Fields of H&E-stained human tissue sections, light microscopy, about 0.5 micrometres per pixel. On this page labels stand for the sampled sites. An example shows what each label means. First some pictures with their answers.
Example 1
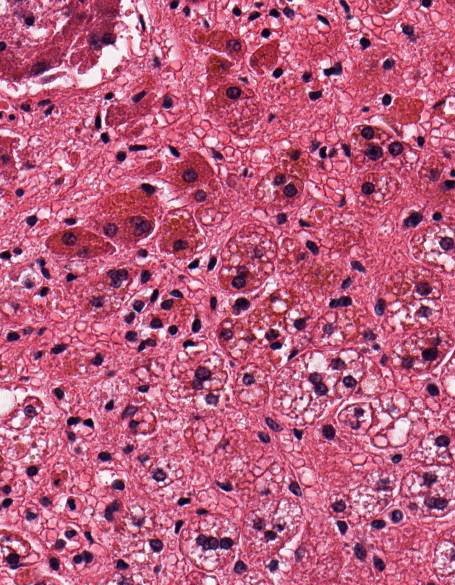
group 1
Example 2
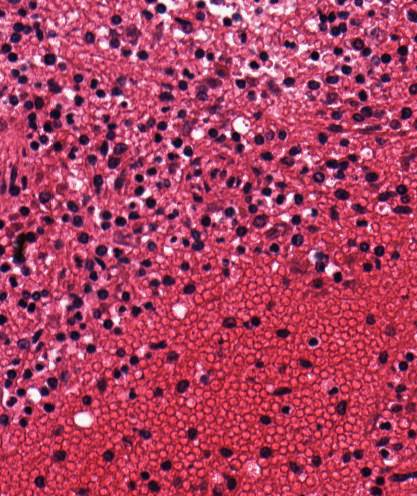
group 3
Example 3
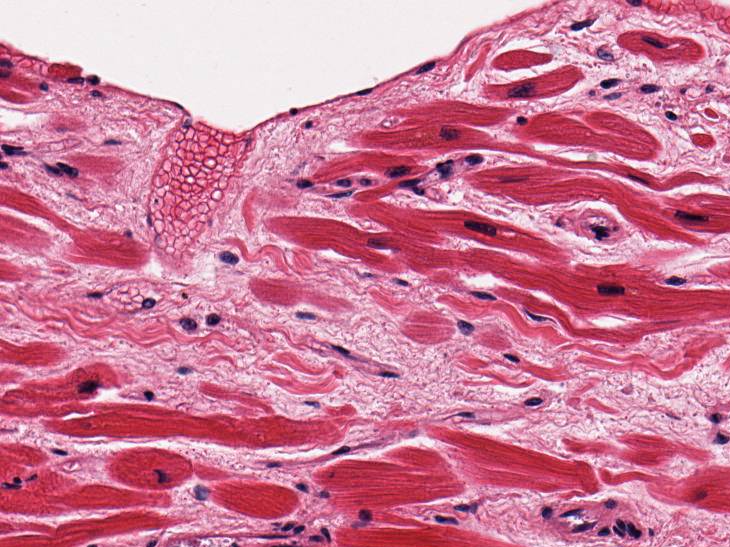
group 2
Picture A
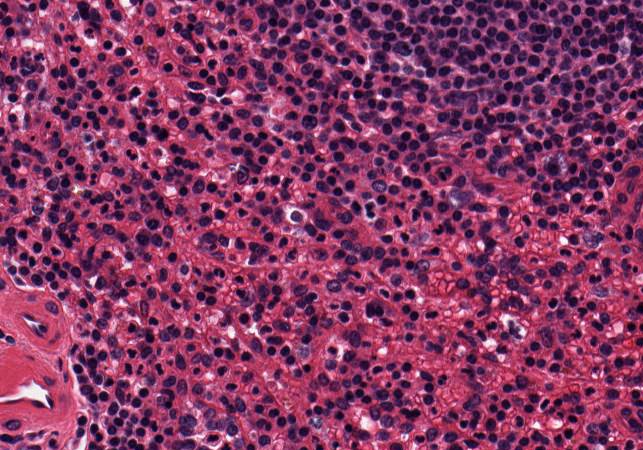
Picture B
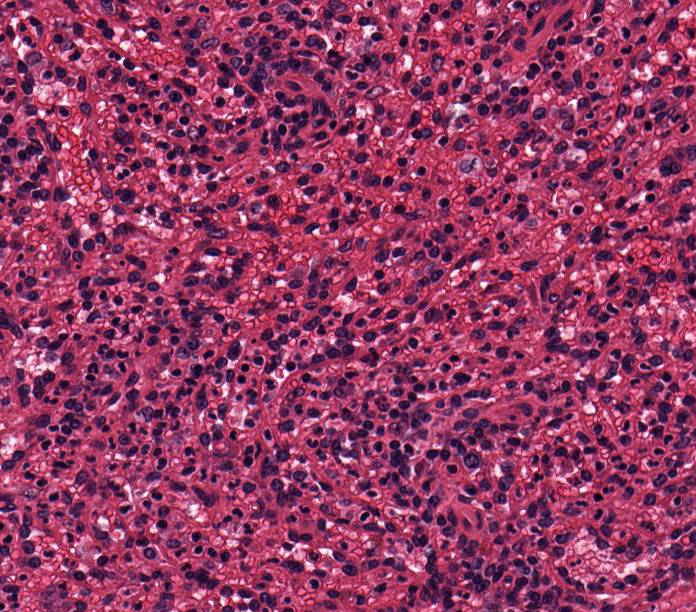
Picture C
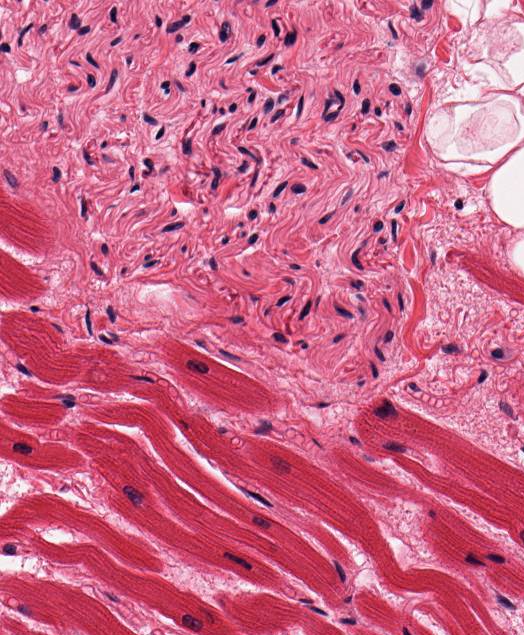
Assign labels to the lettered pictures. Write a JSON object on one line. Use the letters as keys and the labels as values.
{"A": "group 3", "B": "group 3", "C": "group 2"}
